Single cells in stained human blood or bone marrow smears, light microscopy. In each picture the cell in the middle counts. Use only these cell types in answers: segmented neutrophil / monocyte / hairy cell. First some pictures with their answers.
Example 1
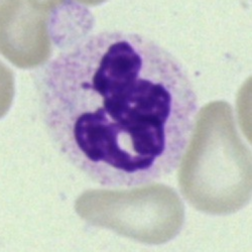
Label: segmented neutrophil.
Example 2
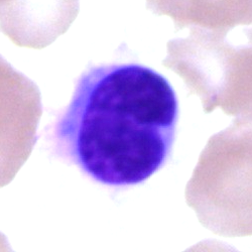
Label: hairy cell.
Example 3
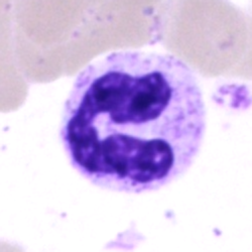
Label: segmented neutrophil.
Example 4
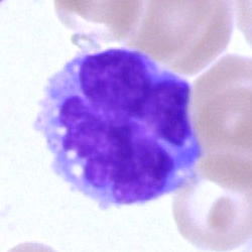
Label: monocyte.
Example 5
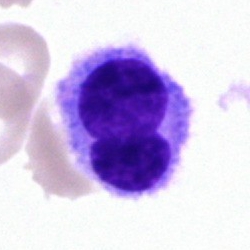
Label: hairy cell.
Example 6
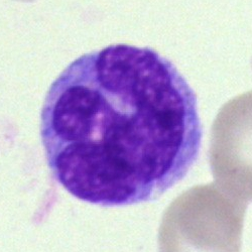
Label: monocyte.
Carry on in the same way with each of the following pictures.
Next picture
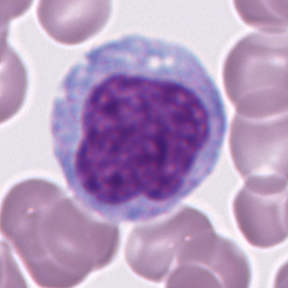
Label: monocyte.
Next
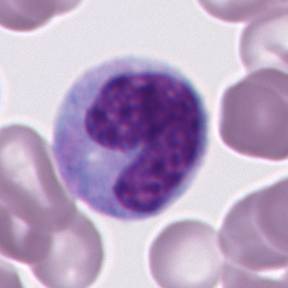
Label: monocyte.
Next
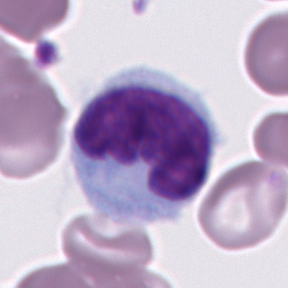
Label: monocyte.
